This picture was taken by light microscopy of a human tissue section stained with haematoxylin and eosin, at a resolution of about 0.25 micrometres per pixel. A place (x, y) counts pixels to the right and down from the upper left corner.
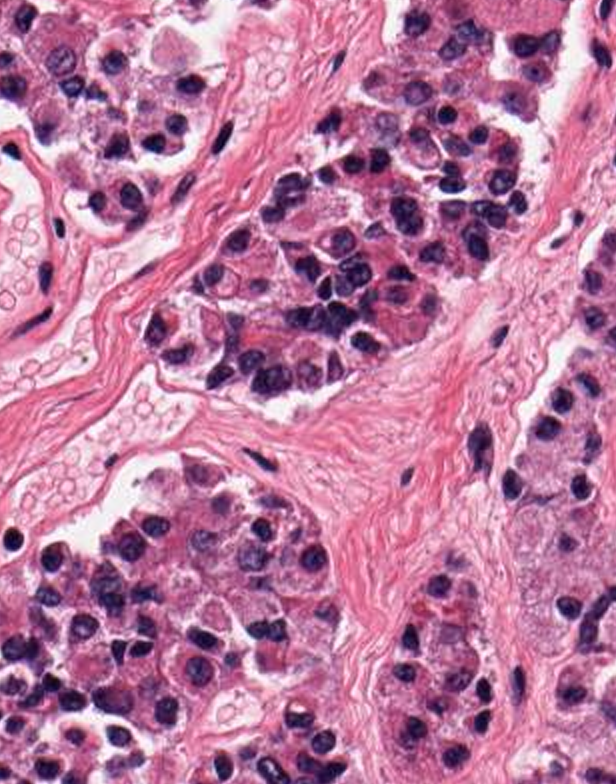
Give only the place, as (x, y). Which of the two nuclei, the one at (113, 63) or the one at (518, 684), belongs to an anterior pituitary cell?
(113, 63)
